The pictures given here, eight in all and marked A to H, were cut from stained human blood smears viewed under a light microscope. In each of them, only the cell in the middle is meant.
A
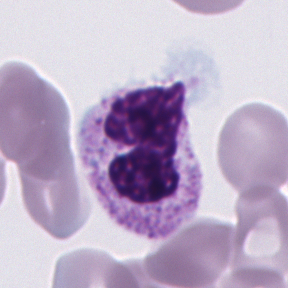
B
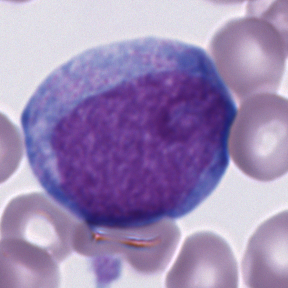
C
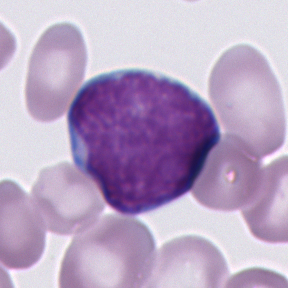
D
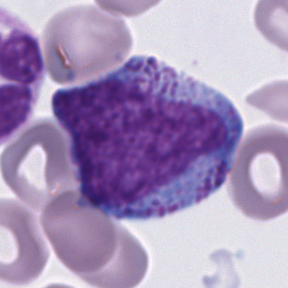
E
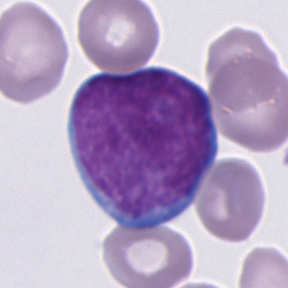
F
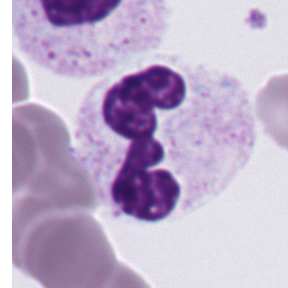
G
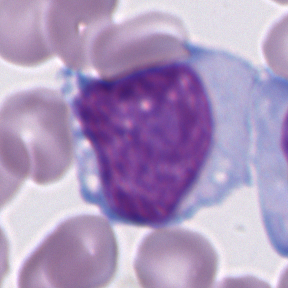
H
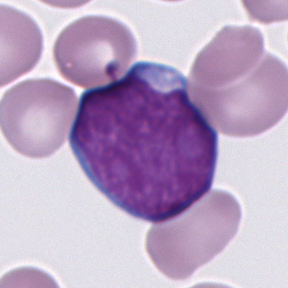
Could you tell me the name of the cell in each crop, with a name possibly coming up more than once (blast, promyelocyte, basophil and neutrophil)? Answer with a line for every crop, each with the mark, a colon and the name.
A: neutrophil
B: promyelocyte
C: blast
D: promyelocyte
E: blast
F: neutrophil
G: blast
H: blast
